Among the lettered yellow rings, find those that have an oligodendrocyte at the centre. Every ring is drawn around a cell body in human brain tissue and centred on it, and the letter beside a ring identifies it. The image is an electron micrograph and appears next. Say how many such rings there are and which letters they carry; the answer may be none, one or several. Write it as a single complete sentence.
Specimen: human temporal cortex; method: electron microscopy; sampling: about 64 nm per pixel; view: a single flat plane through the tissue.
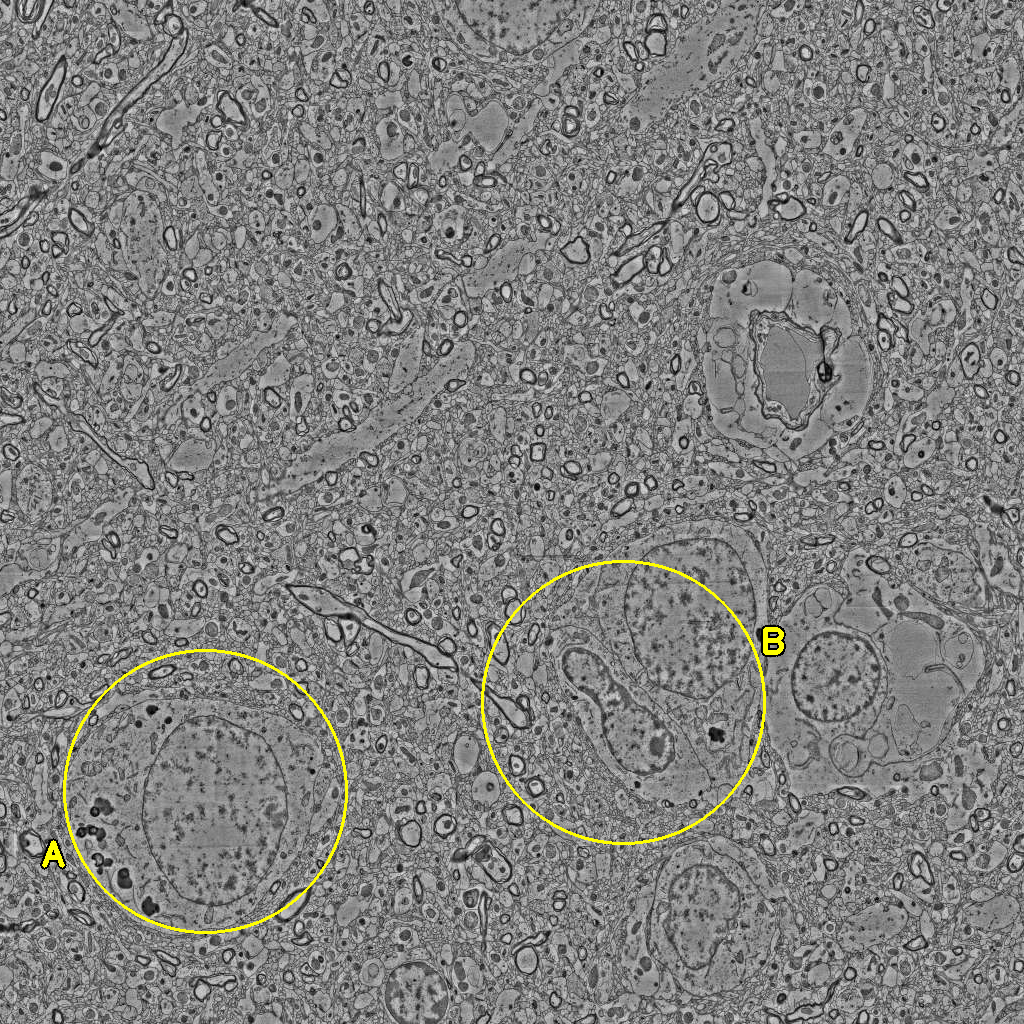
Zero rings, of all those lettered in the micrograph, are centred on an oligodendrocyte.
